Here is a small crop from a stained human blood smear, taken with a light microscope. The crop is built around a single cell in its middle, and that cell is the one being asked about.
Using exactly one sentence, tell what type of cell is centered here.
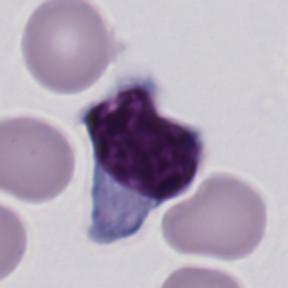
The cell at the heart of this crop is a plasma cell.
